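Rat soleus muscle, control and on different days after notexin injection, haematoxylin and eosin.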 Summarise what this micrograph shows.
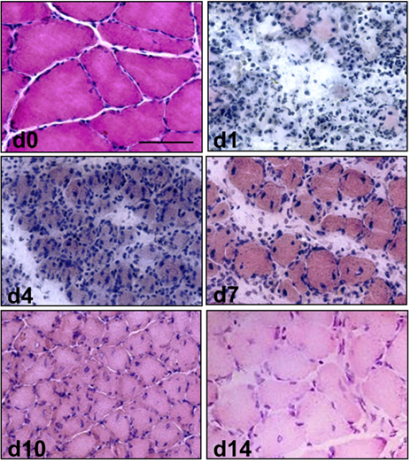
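In one image, large polygonal pink fibres are packed closely, with small dark nuclei at their edges. In others, the fibres are pale and broken up and are crowded by masses of small dark blue nuclei, while later images show smaller, rounder pink fibres with many nuclei between them, and then fibres that are larger again.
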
